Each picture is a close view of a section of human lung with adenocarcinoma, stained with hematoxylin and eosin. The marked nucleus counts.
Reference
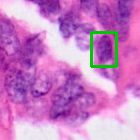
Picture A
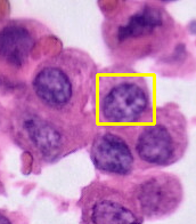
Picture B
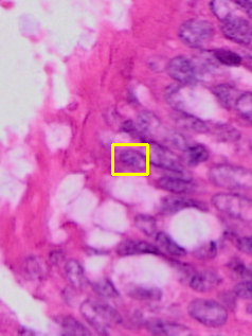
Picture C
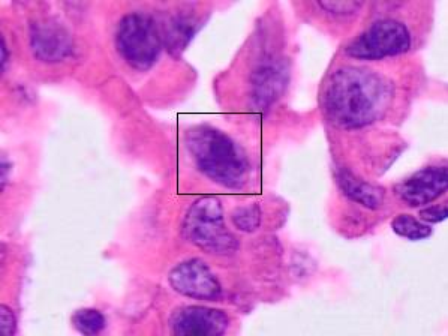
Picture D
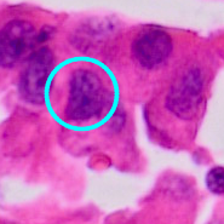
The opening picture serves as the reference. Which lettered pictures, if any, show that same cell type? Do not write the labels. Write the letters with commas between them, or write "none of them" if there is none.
B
